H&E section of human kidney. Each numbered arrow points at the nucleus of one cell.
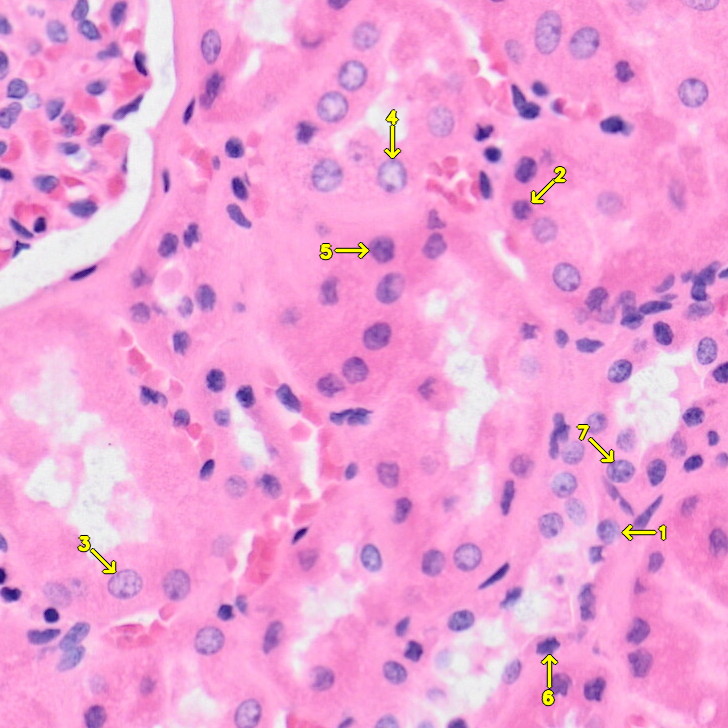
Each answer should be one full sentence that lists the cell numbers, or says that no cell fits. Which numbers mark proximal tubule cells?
The cells identified by the numbers 2, 3, 4 and 5 are proximal tubule cells.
